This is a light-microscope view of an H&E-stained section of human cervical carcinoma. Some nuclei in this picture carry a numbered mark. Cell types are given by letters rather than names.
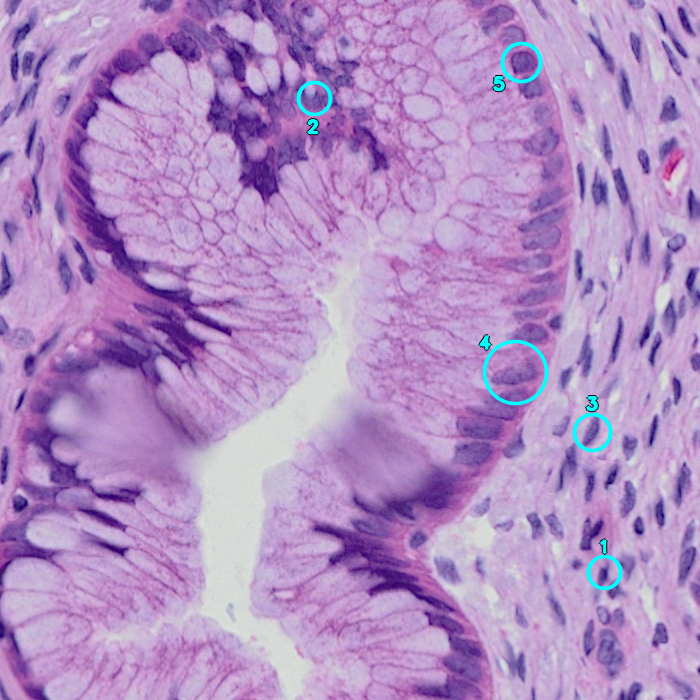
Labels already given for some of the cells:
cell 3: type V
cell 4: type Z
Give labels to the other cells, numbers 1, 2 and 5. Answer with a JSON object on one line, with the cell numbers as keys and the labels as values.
{"1": "type V", "2": "type Z", "5": "type Z"}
